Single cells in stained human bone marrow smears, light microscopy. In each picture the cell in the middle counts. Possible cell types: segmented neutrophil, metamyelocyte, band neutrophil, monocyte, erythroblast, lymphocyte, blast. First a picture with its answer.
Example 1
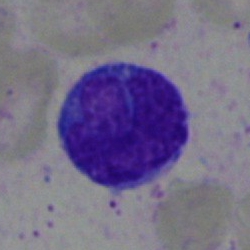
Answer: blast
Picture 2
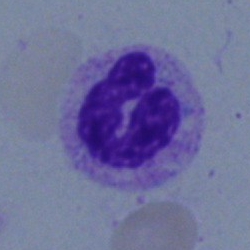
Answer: band neutrophil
